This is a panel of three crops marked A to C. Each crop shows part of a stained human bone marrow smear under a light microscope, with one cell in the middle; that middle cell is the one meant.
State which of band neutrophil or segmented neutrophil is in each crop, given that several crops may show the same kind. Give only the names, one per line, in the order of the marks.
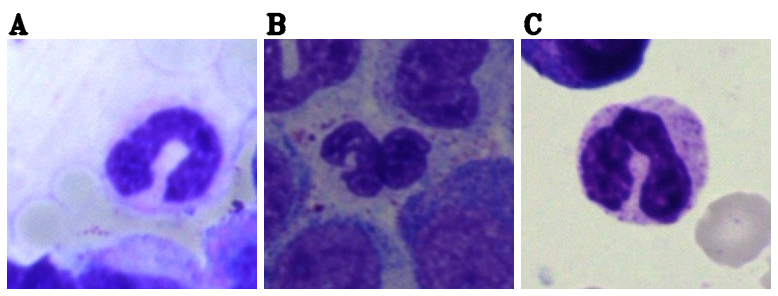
band neutrophil
segmented neutrophil
band neutrophil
